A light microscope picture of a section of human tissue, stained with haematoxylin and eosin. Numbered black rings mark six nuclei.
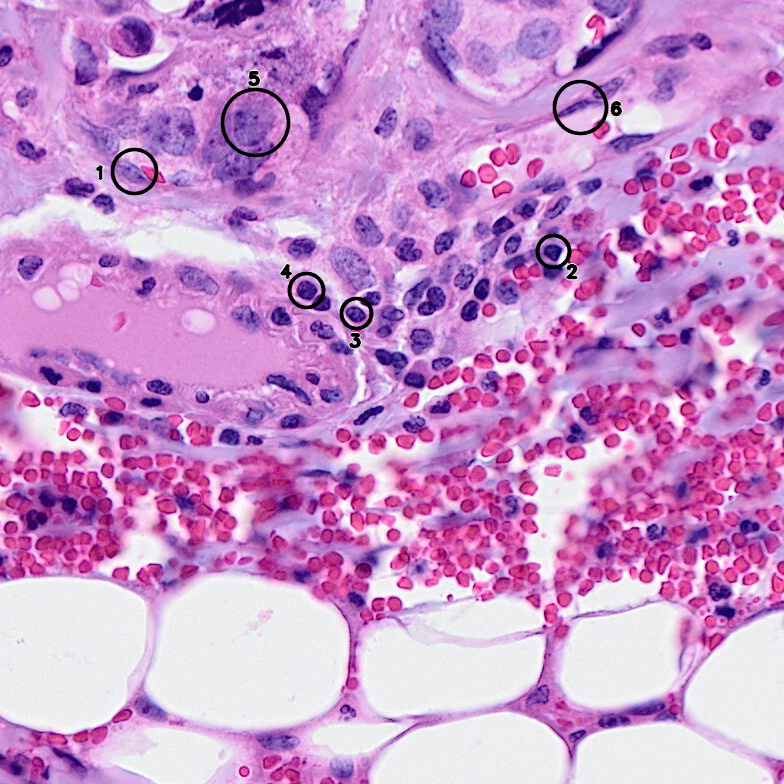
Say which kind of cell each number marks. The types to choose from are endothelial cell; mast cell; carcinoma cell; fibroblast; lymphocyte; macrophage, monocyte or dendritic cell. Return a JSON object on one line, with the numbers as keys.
{"1": "endothelial cell", "2": "lymphocyte", "3": "lymphocyte", "4": "lymphocyte", "5": "carcinoma cell", "6": "endothelial cell"}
